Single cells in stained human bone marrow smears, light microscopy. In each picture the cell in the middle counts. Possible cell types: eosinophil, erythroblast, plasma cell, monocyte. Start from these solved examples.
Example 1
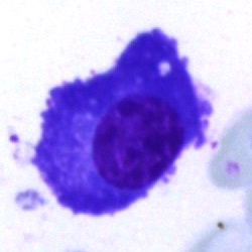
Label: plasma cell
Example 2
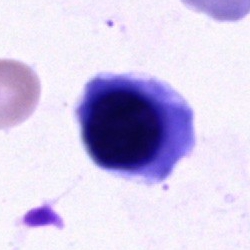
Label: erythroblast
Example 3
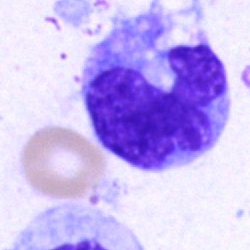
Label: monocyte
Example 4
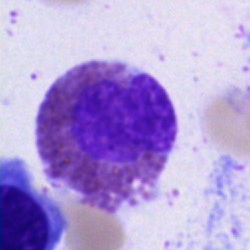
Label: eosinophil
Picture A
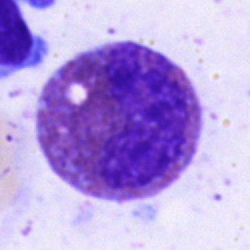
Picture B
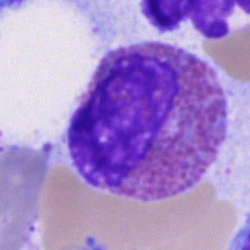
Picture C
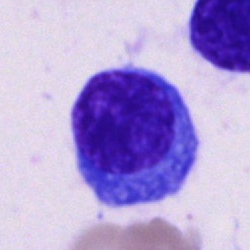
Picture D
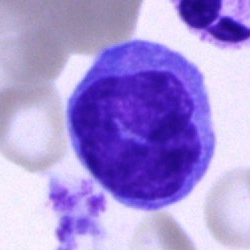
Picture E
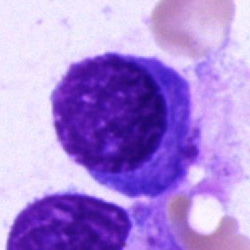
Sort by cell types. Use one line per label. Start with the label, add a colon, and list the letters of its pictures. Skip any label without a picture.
eosinophil: A, B
plasma cell: C, E
monocyte: D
